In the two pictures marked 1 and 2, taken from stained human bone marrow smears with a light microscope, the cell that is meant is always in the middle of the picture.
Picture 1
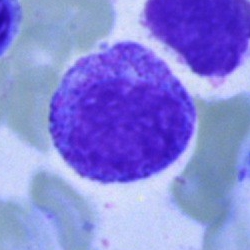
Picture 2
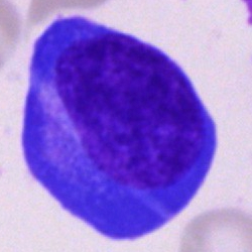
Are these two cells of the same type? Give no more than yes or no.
no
